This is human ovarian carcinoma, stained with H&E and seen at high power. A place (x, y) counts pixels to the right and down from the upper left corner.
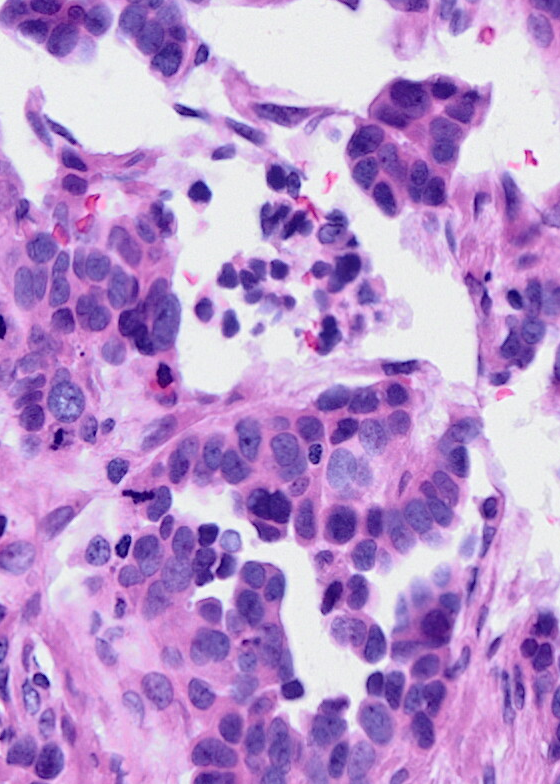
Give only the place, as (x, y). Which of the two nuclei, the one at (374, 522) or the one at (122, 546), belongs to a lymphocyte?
(122, 546)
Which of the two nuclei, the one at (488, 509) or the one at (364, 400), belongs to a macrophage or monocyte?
(488, 509)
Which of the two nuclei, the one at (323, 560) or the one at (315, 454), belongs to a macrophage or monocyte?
(323, 560)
